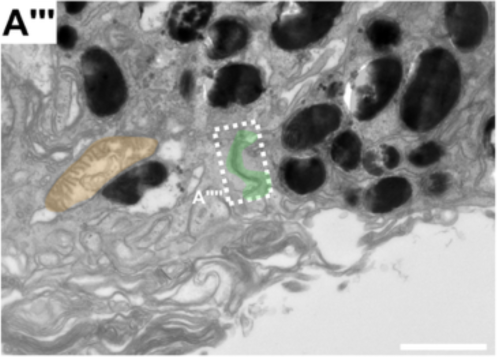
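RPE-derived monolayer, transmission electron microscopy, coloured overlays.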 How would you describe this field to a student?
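This electron micrograph shows the apical part of pigment epithelial cells. The cytoplasm is packed with many round and oval, intensely black pigment granules of varying size. An elongated mitochondrion lies on the left, and between two cells a short, dense stretch of closely apposed membranes marks a junctional complex. Below, at the apical surface, thin wavy membrane processes extend outward.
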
